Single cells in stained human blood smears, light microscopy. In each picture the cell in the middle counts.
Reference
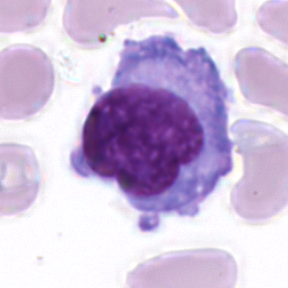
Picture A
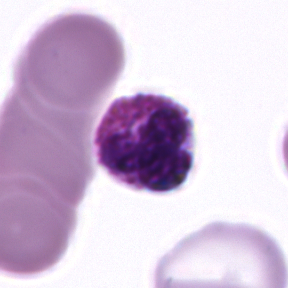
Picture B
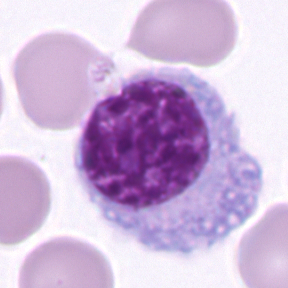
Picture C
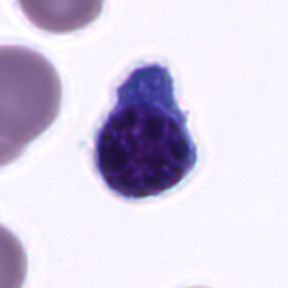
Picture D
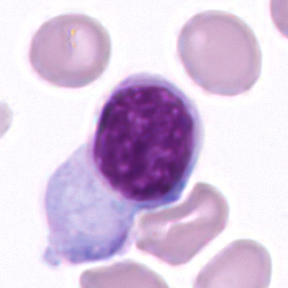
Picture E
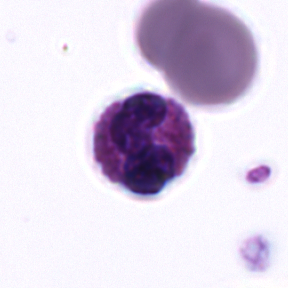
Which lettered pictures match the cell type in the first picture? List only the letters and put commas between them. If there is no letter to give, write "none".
B, C, D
